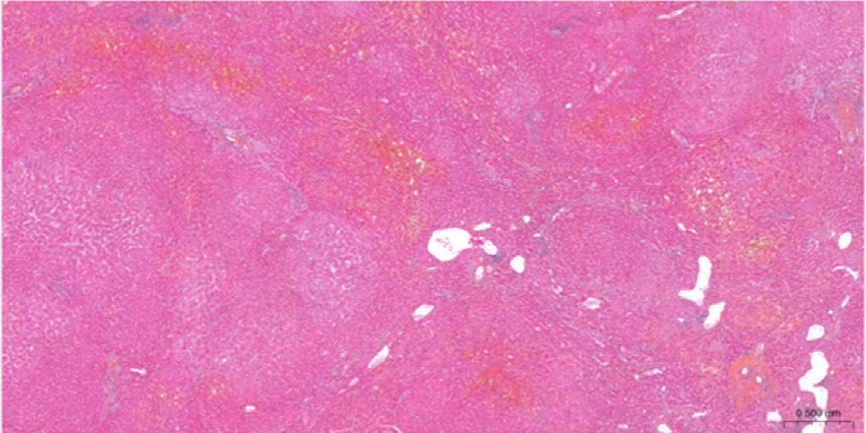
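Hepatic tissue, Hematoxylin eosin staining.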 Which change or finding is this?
Nodular architecture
